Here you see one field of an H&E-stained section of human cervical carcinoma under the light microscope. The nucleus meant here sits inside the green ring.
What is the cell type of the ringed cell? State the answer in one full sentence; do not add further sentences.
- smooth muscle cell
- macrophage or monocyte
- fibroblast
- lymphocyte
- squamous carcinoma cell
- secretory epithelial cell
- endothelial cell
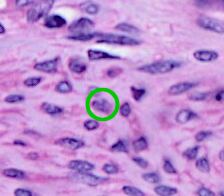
In the tissue under study, the ringed cell is a smooth muscle cell.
